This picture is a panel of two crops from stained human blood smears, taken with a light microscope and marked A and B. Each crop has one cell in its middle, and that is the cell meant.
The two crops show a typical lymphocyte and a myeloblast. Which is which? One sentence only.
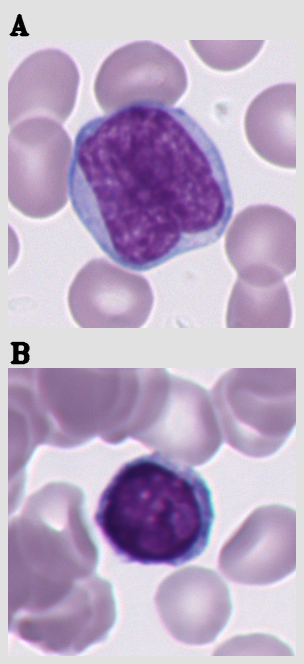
Crop A here is a myeloblast, and crop B is a typical lymphocyte.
